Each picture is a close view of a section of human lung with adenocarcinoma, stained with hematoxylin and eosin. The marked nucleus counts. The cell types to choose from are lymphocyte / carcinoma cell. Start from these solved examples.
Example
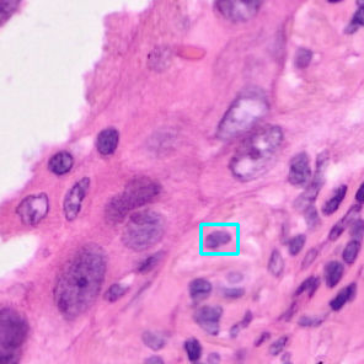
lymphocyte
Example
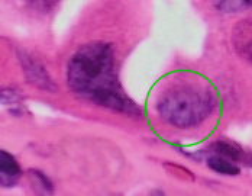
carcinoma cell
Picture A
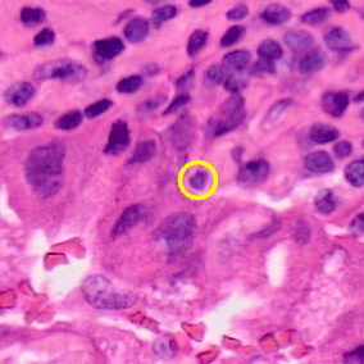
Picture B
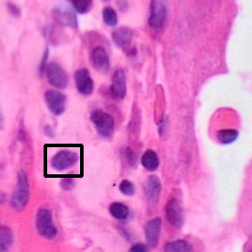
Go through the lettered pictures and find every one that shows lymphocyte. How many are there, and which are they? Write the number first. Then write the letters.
2: A, B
